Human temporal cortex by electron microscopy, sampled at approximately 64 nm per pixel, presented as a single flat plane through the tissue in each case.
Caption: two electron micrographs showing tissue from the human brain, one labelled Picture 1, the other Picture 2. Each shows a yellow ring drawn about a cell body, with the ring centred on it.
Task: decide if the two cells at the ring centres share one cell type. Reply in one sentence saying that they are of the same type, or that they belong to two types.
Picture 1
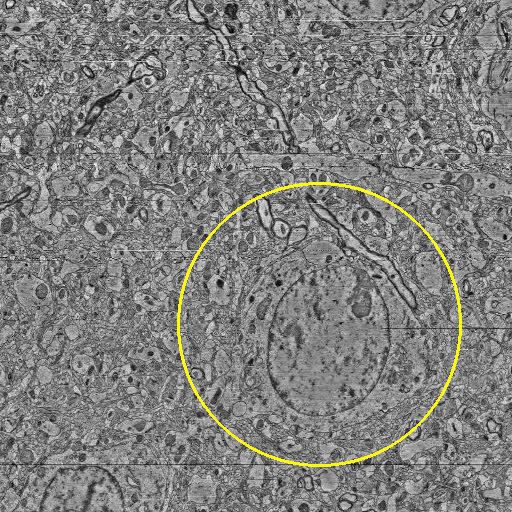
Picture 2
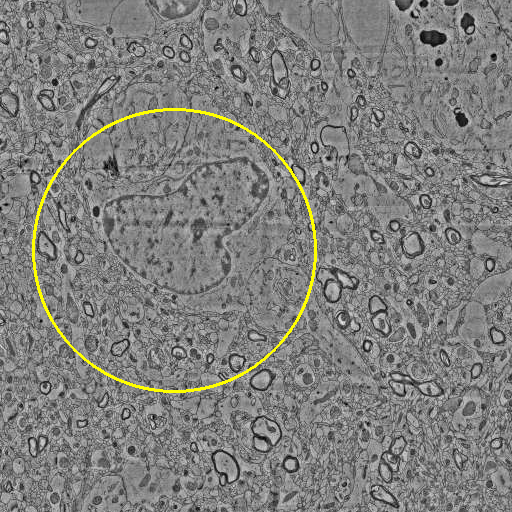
The cells at the ring centres in Picture 1 and Picture 2 belong to two types.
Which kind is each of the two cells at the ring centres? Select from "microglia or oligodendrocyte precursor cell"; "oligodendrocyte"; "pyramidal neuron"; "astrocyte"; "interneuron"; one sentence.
The cell at the centre of the ring is a pyramidal neuron in the first picture and a microglial cell or oligodendrocyte precursor cell in the second.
